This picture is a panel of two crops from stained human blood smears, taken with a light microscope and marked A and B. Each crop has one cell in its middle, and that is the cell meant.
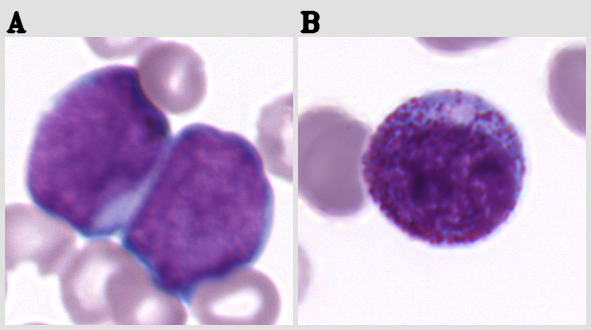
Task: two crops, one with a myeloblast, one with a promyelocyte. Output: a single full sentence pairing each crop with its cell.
For crop A the cell is a myeloblast, and for crop B it is a promyelocyte.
